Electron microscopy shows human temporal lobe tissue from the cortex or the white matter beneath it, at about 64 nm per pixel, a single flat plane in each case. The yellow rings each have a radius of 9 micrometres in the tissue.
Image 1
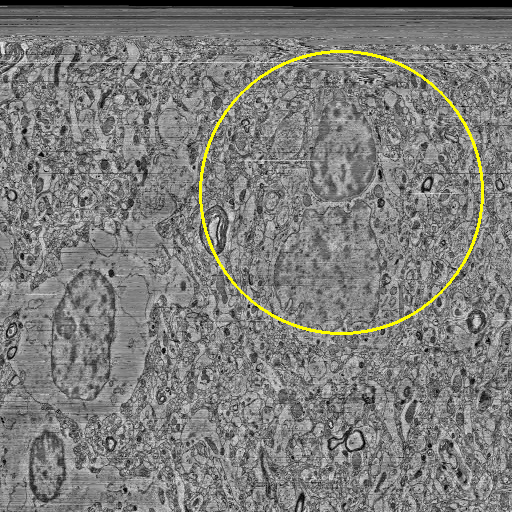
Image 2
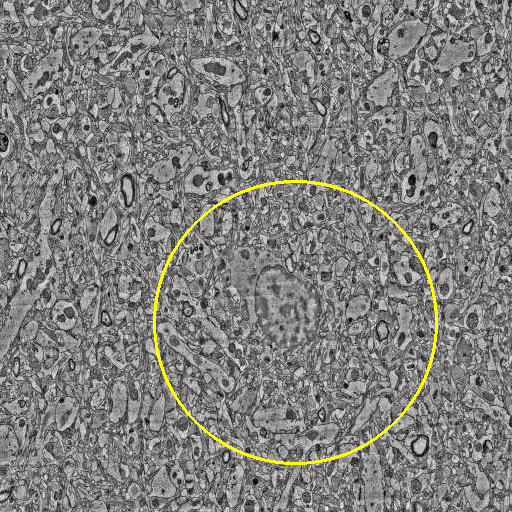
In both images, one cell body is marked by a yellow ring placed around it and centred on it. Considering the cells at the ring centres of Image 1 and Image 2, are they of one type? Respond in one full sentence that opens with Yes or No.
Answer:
Yes, a single type applies to the ring-centred cells of both Image 1 and Image 2.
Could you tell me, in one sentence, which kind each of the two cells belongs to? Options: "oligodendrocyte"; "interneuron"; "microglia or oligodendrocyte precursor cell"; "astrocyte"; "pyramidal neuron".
Each of the two rings is centred on an oligodendrocyte.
